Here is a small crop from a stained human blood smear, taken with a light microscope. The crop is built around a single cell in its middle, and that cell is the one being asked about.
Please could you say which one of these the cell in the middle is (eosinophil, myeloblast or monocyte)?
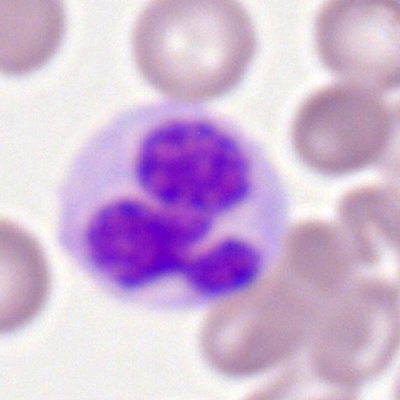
monocyte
